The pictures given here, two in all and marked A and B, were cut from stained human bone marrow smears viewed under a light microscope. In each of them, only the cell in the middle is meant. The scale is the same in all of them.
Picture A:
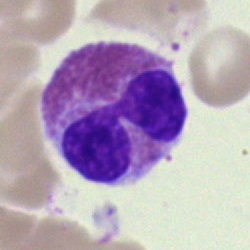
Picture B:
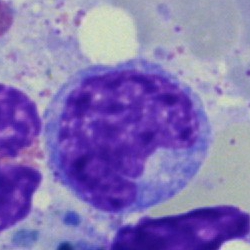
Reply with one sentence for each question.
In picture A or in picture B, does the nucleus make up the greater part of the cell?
Of the two, the nucleus in picture B makes up the greater part of its cell.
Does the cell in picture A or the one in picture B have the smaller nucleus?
It is the nucleus in picture A; the one in picture B has about 2 times its area.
